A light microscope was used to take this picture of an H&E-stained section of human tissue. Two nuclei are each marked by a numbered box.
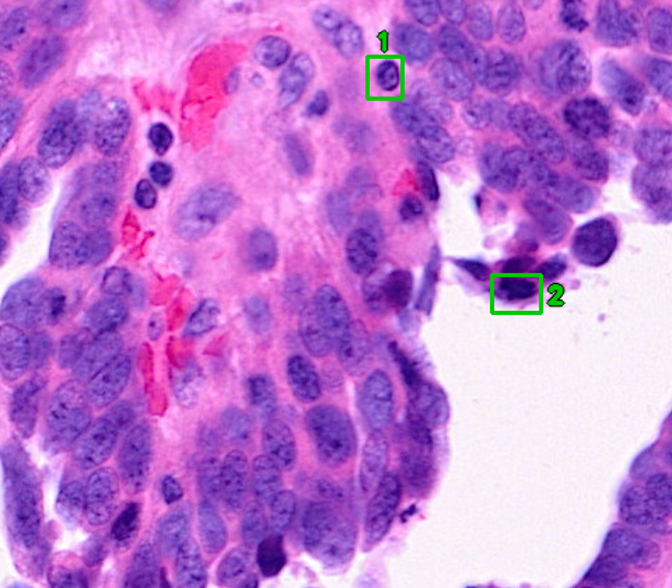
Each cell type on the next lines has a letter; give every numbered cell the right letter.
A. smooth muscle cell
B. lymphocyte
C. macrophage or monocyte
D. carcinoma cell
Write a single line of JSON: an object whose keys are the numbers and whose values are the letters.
{"1": "B", "2": "D"}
